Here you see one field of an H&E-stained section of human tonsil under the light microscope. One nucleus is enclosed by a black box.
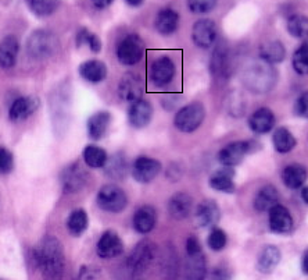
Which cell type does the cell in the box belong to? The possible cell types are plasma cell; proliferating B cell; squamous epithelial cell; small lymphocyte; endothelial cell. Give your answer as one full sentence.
As classified here, the cell in the box is a plasma cell.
